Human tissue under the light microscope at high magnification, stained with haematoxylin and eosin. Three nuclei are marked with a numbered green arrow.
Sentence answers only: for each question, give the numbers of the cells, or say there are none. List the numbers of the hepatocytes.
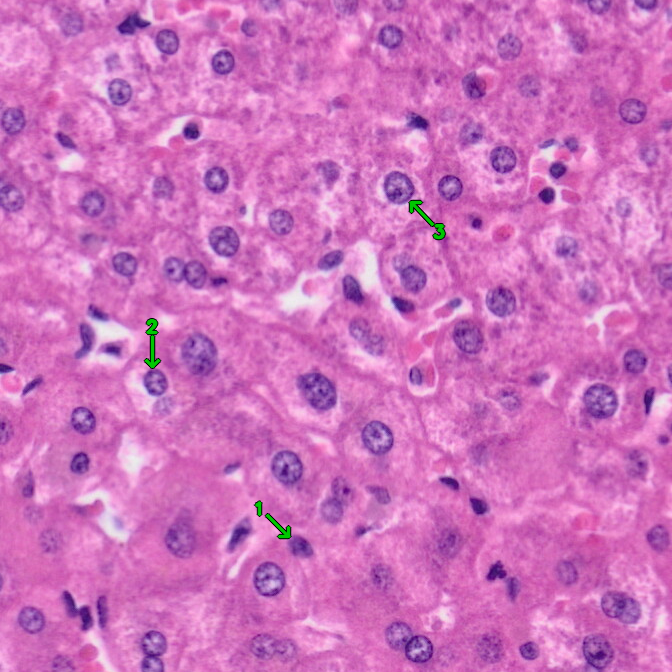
The cells tagged with numbers 2 and 3 are hepatocytes.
